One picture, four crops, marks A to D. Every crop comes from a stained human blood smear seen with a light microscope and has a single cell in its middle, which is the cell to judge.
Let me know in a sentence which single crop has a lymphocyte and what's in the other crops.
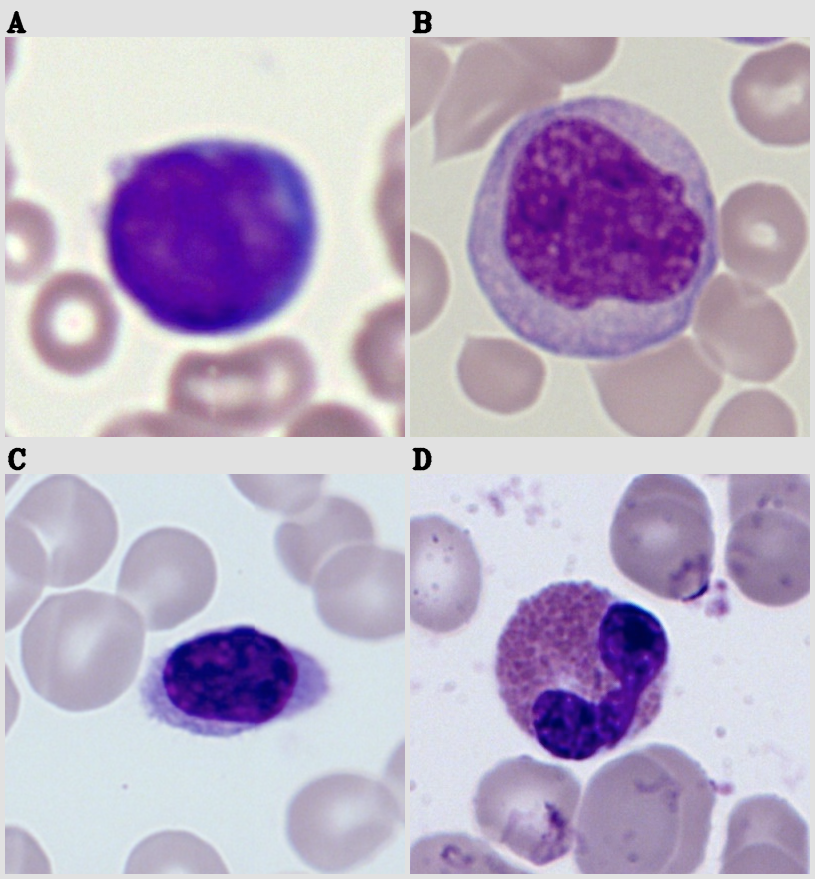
Crop C is classified as a lymphocyte, whereas crop A is a myeloblast, crop B is a monocyte and crop D is an eosinophil.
